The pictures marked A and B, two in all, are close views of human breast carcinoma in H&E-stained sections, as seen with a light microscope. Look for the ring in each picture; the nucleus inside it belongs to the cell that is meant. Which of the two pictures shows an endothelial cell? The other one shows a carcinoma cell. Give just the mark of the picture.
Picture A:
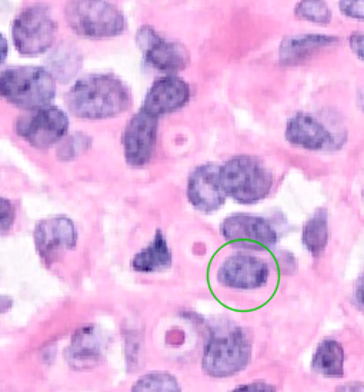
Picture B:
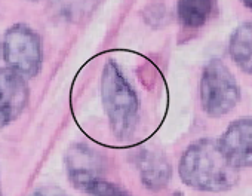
B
